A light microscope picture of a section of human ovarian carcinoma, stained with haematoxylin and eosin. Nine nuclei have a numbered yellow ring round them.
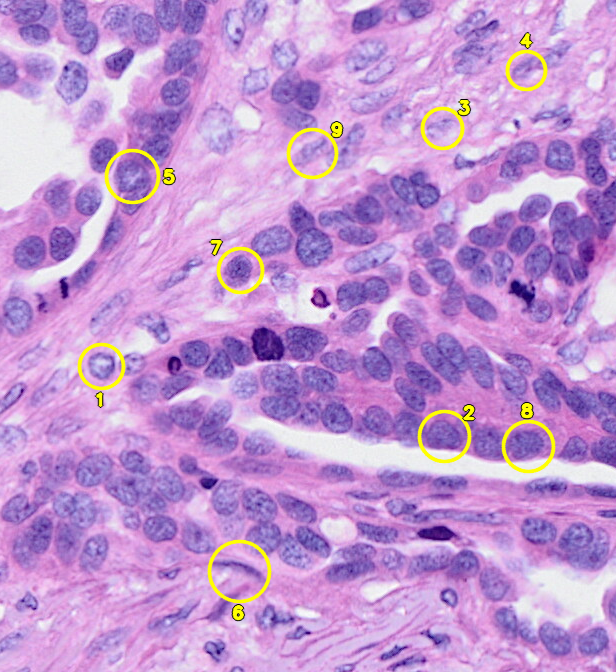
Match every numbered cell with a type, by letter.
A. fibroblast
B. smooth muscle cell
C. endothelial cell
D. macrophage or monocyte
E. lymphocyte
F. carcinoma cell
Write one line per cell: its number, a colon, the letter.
1: A
2: F
3: A
4: A
5: F
6: A
7: F
8: F
9: A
